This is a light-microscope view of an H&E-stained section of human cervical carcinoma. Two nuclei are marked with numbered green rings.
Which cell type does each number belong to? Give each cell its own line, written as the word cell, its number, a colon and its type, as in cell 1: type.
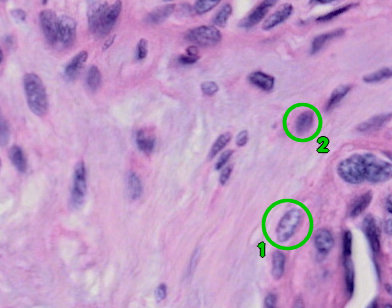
cell 1: smooth muscle cell
cell 2: endothelial cell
